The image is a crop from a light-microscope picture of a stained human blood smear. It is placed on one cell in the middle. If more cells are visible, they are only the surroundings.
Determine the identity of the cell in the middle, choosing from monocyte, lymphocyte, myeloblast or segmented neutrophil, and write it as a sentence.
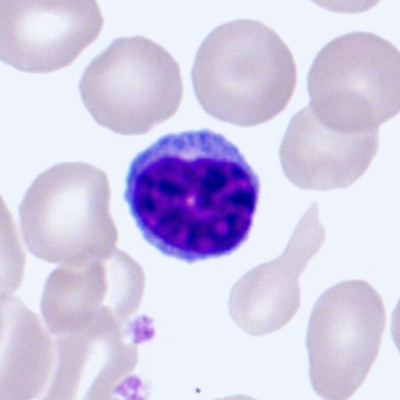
The middle of this crop holds a lymphocyte.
